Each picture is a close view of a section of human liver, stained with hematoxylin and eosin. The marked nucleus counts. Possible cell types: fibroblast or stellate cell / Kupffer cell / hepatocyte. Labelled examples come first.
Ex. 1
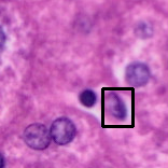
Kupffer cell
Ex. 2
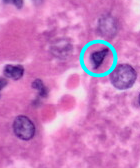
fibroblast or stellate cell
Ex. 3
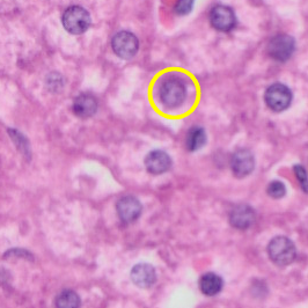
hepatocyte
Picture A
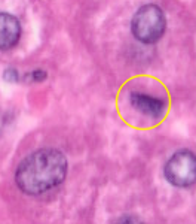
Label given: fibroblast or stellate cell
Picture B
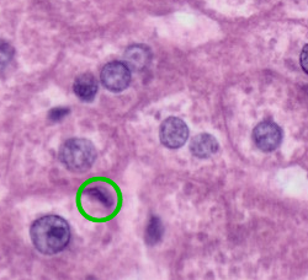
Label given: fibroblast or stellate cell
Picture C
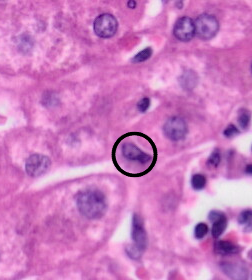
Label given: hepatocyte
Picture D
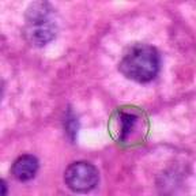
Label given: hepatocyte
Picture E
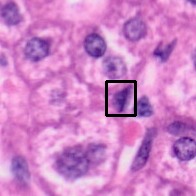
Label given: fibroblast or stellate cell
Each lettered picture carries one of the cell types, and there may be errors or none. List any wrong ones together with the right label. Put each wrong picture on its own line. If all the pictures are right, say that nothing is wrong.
C is labelled hepatocyte; correct label: Kupffer cell
D is labelled hepatocyte; correct label: fibroblast or stellate cell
